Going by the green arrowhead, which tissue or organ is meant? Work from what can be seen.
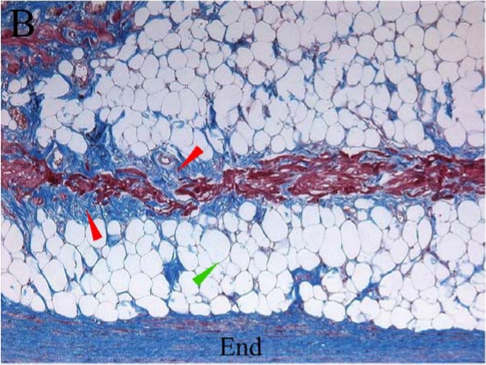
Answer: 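Large empty polygonal spaces packed side by side. Thin blue-stained septa between the empty spaces.
Answer: fat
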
